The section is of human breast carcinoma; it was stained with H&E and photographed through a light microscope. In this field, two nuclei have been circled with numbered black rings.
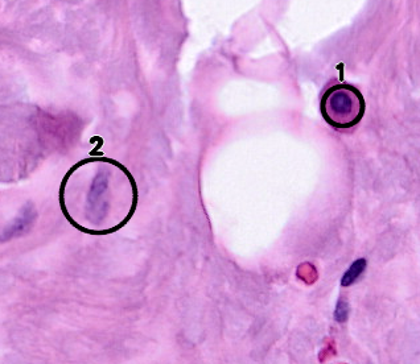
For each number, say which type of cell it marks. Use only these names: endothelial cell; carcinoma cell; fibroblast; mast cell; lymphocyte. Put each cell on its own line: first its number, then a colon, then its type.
1: mast cell
2: fibroblast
